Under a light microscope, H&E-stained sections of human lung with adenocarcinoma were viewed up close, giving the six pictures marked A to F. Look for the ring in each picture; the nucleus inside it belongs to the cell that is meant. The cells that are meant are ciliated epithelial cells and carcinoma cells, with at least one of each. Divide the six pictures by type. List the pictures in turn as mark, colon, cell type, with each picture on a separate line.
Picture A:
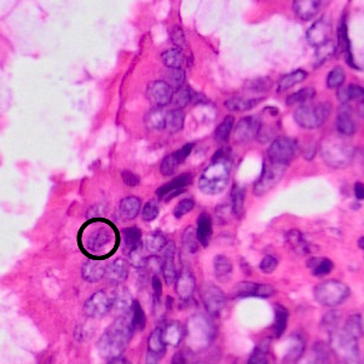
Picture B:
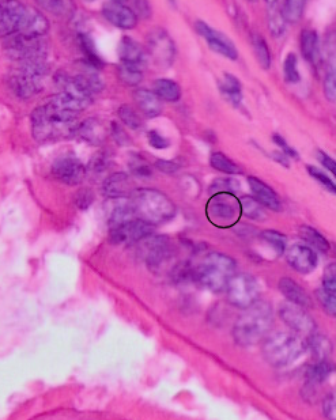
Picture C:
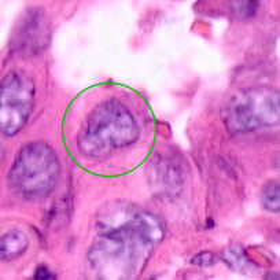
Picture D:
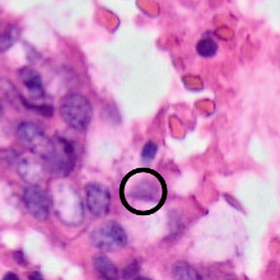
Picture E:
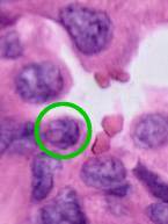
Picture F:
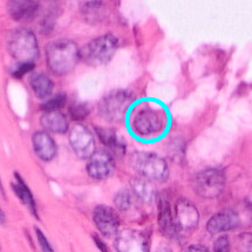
A: ciliated epithelial cell
B: ciliated epithelial cell
C: carcinoma cell
D: ciliated epithelial cell
E: carcinoma cell
F: ciliated epithelial cell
